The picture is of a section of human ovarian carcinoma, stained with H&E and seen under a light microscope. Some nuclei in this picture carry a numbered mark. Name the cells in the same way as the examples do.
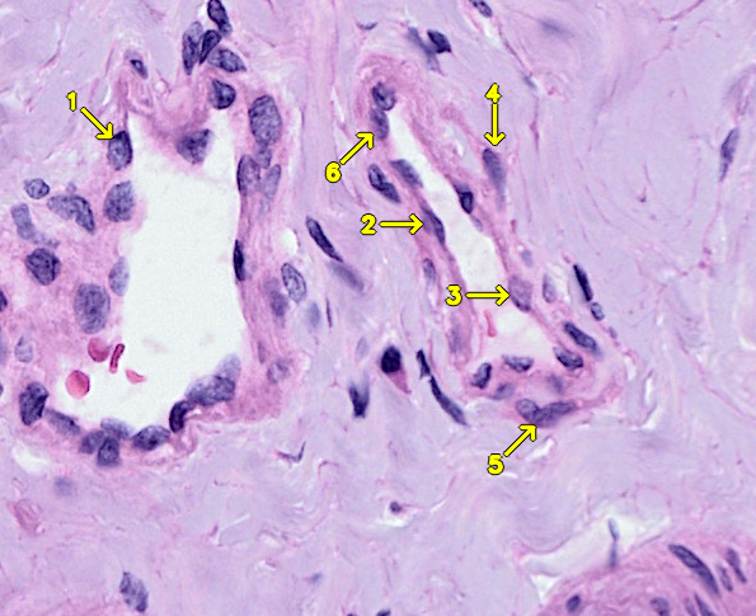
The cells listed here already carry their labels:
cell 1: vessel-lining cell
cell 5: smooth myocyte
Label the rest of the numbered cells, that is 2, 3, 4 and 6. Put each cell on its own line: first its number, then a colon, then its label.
2: vessel-lining cell
3: vessel-lining cell
4: smooth myocyte
6: vessel-lining cell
